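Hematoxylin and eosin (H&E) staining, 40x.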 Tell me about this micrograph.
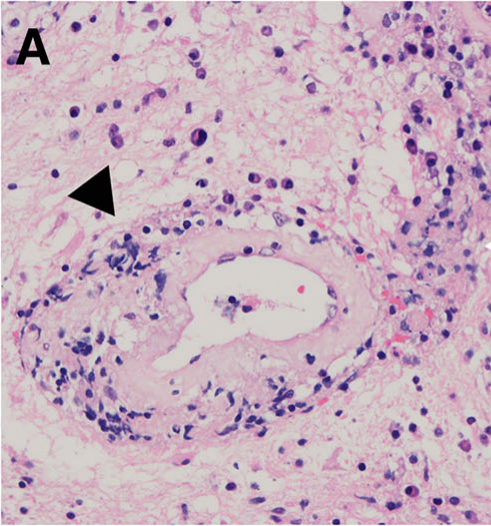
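Inflamed tissue centred on a small blood vessel whose wall is thickened, homogeneous and pale pink, with dark, fragmented nuclei and inflammatory cells within and around it. Beside it lies a dense infiltrate of small round cells with dark nuclei, among them lymphocytes and plasma cells with off-centre nuclei and more cytoplasm. The surrounding stroma is loose, pale and vacuolated, with scattered inflammatory cells.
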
